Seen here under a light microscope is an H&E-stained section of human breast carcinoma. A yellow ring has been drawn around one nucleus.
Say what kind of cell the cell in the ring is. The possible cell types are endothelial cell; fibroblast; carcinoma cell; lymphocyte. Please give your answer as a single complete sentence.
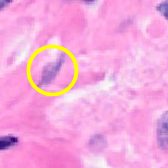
In the context of this tissue, the cell in the ring is a fibroblast.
